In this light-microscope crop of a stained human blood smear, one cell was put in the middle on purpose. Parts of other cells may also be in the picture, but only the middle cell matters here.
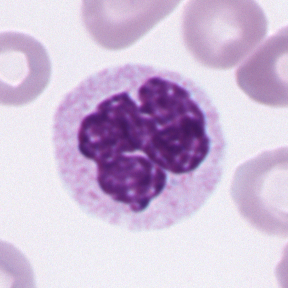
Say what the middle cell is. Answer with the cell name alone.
segmented neutrophil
